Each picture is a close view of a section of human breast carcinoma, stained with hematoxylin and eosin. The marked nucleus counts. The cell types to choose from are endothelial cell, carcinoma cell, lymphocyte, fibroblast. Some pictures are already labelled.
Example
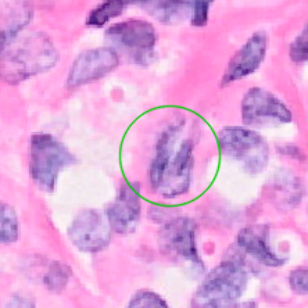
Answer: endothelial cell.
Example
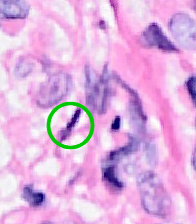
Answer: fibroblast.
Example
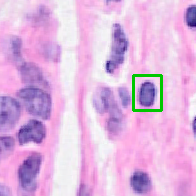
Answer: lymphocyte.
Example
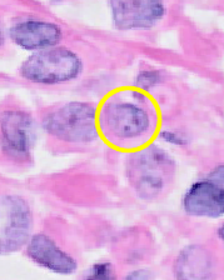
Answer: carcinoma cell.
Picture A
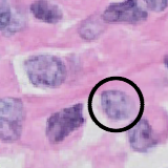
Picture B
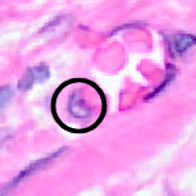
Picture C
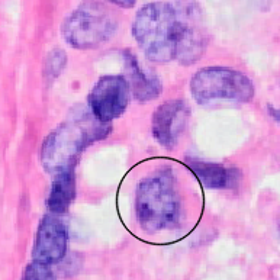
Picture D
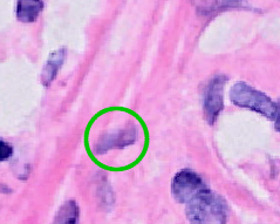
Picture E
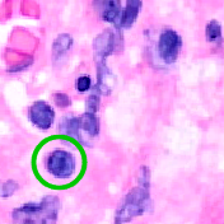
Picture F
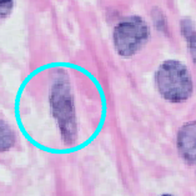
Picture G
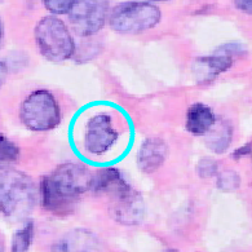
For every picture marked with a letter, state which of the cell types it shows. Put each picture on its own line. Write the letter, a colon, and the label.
A: carcinoma cell.
B: endothelial cell.
C: carcinoma cell.
D: fibroblast.
E: lymphocyte.
F: fibroblast.
G: carcinoma cell.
